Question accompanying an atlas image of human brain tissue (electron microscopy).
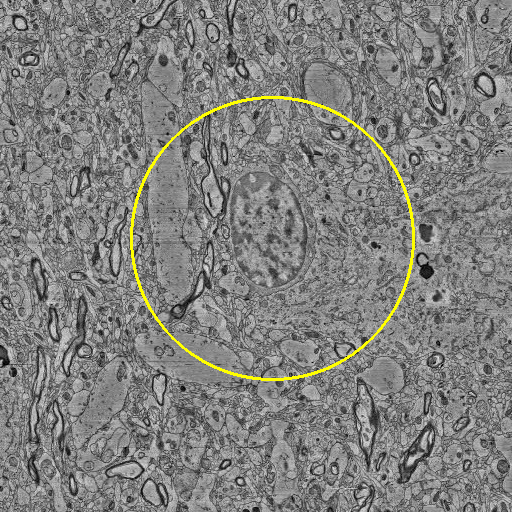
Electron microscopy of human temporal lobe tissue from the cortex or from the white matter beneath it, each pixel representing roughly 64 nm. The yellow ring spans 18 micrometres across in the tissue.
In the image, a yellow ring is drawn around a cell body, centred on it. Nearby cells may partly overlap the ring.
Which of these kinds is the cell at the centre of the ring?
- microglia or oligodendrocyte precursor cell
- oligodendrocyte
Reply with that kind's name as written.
oligodendrocyte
